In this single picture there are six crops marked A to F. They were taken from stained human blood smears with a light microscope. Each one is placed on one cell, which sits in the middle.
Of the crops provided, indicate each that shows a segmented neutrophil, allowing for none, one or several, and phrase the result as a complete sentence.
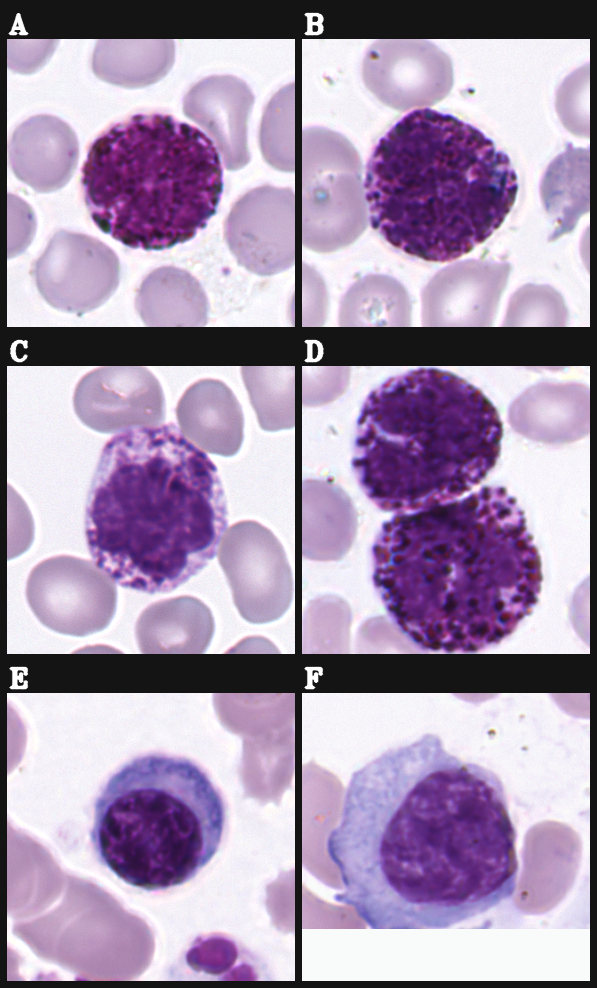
The cell of interest is not a segmented neutrophil in any crop.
